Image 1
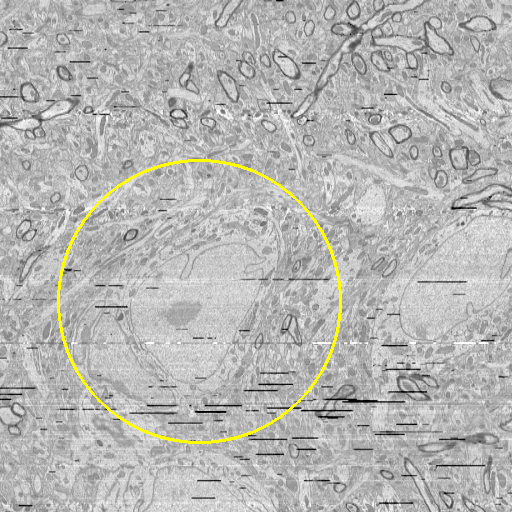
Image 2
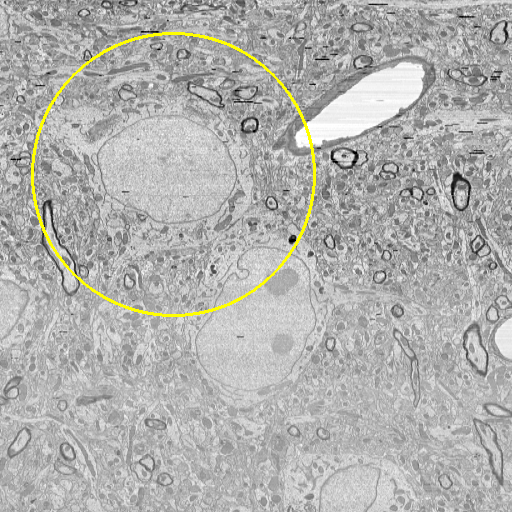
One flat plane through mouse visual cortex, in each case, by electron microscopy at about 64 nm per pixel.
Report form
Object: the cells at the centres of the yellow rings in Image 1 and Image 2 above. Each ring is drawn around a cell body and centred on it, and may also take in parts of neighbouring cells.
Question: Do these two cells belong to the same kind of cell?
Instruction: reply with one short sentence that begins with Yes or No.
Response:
Yes, both belong to the same kind of cell.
